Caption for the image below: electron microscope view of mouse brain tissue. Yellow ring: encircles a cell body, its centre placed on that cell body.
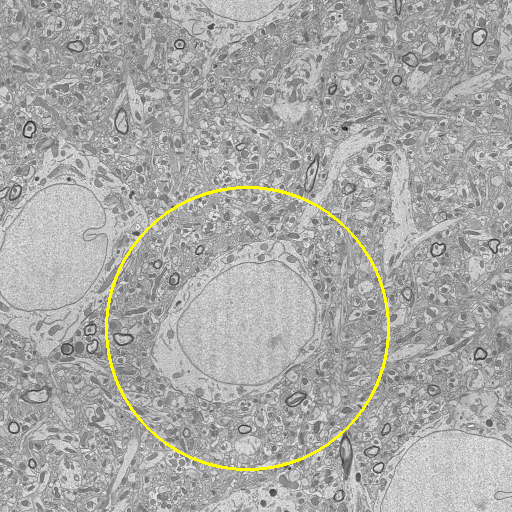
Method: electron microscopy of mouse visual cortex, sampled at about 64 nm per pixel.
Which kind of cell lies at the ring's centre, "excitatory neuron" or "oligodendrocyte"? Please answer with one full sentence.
The picture shows an excitatory neuron at the centre of the yellow ring.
